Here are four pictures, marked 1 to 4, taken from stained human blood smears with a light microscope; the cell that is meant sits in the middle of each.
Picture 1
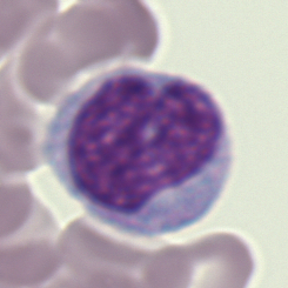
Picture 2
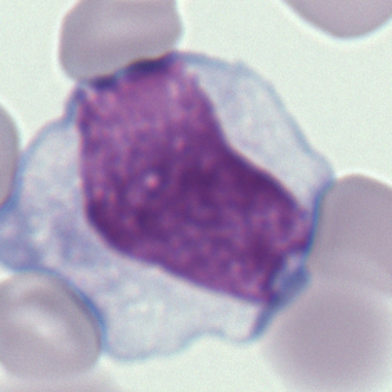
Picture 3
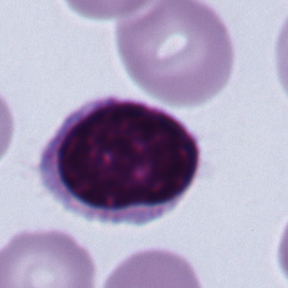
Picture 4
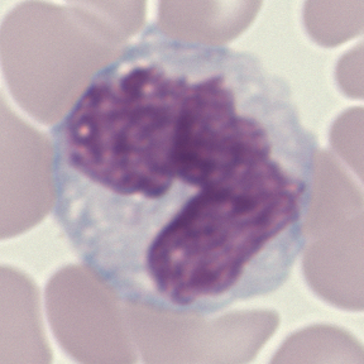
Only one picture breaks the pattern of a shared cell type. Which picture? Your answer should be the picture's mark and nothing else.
3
